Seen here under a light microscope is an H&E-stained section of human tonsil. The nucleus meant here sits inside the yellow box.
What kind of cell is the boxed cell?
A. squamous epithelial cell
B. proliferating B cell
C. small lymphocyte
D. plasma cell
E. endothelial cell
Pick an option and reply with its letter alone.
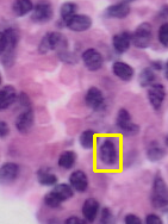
D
